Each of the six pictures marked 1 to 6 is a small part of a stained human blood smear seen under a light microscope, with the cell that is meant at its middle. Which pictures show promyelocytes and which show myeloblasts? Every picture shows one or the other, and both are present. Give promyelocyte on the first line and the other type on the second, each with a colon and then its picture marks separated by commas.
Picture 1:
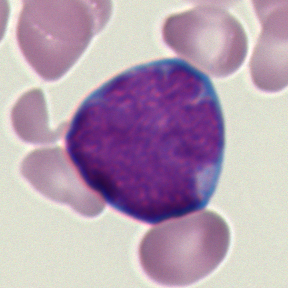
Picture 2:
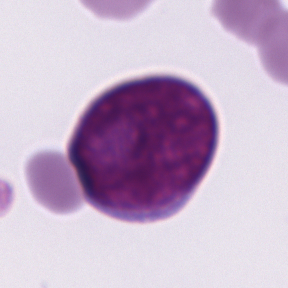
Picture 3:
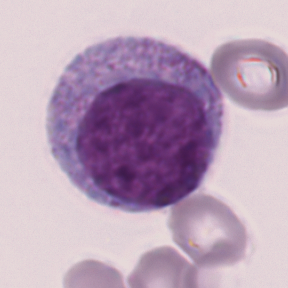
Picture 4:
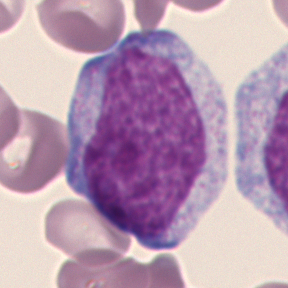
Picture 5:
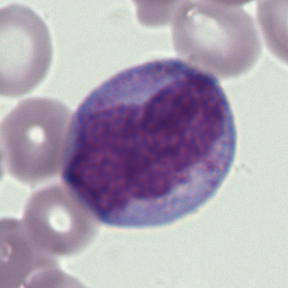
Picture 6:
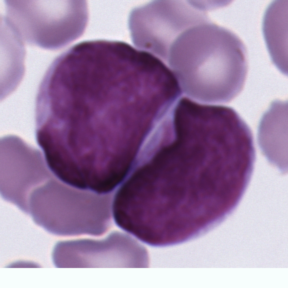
promyelocyte: 3, 4, 5
myeloblast: 1, 2, 6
